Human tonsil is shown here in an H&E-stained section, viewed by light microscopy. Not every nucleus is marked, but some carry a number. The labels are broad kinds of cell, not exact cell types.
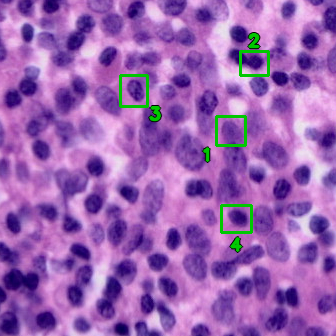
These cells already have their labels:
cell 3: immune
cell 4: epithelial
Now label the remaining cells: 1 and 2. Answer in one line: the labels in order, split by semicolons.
epithelial; immune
